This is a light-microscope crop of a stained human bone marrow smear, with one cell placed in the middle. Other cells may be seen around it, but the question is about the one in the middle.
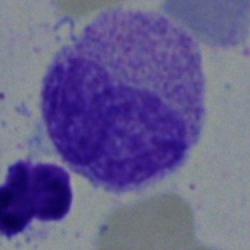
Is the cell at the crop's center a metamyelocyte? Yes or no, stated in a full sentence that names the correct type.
No, it isn't a metamyelocyte; what sits in the middle is a myelocyte.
